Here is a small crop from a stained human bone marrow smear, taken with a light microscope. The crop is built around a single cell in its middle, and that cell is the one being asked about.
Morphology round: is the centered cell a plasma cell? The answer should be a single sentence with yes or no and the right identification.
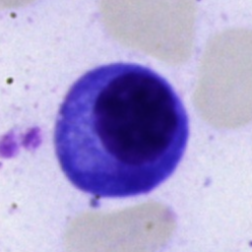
Yes, a plasma cell is the cell positioned in the middle of the field.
